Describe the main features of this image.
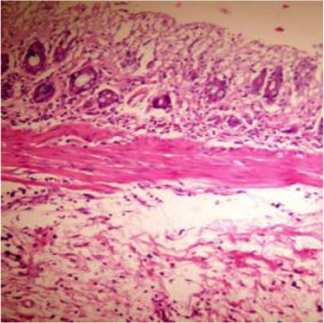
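This is colonic wall in which the mucosa is badly disturbed. Instead of rows of long parallel crypts, only a few small, rounded, irregular glands remain, scattered in a mucosa crowded with many small dark nuclei, suggesting inflammatory infiltrate in the lamina propria. The surface layer looks ragged and lacks an intact lining of columnar cells. Below, a thick band of pink smooth muscle runs across, and under it the submucosa is widened, pale and loose, with sparse fibres and clear spaces between them, pointing to edema. The picture is one of distorted crypts and damaged epithelium.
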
